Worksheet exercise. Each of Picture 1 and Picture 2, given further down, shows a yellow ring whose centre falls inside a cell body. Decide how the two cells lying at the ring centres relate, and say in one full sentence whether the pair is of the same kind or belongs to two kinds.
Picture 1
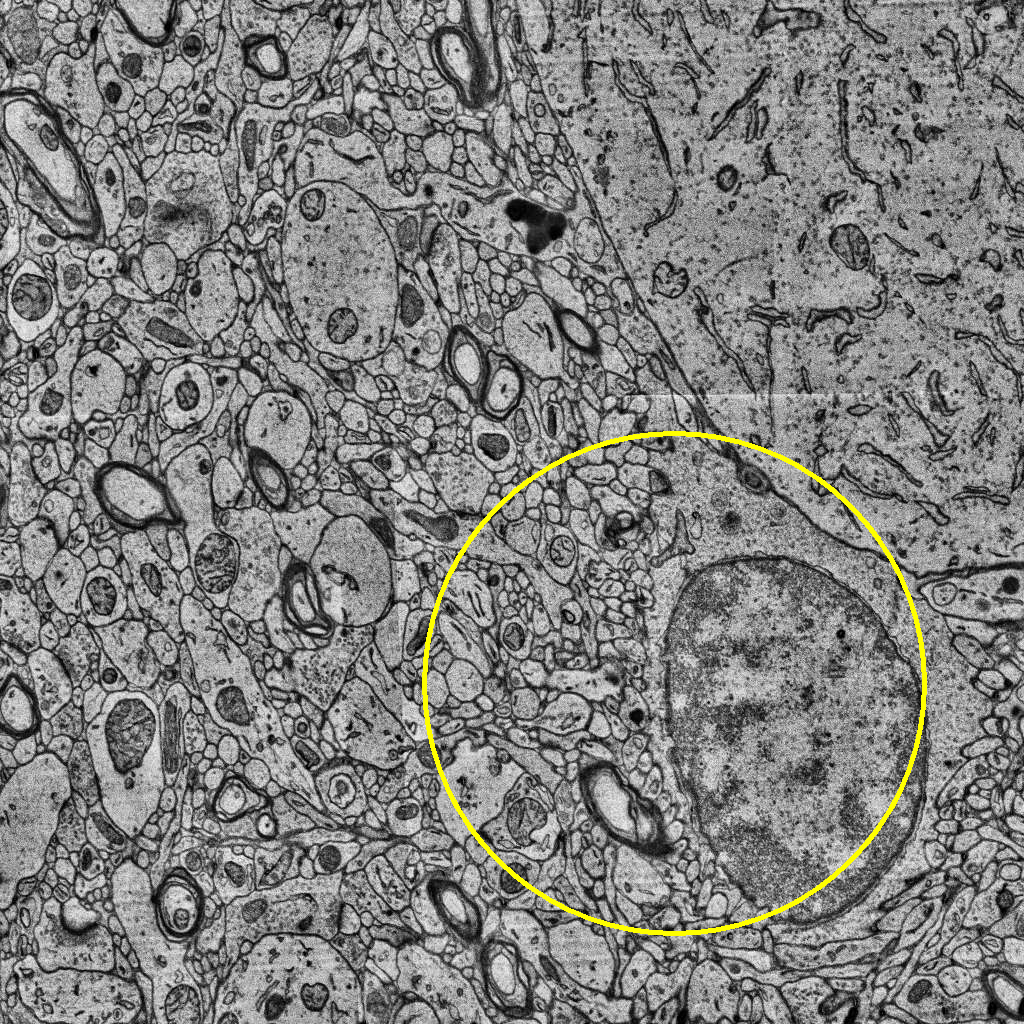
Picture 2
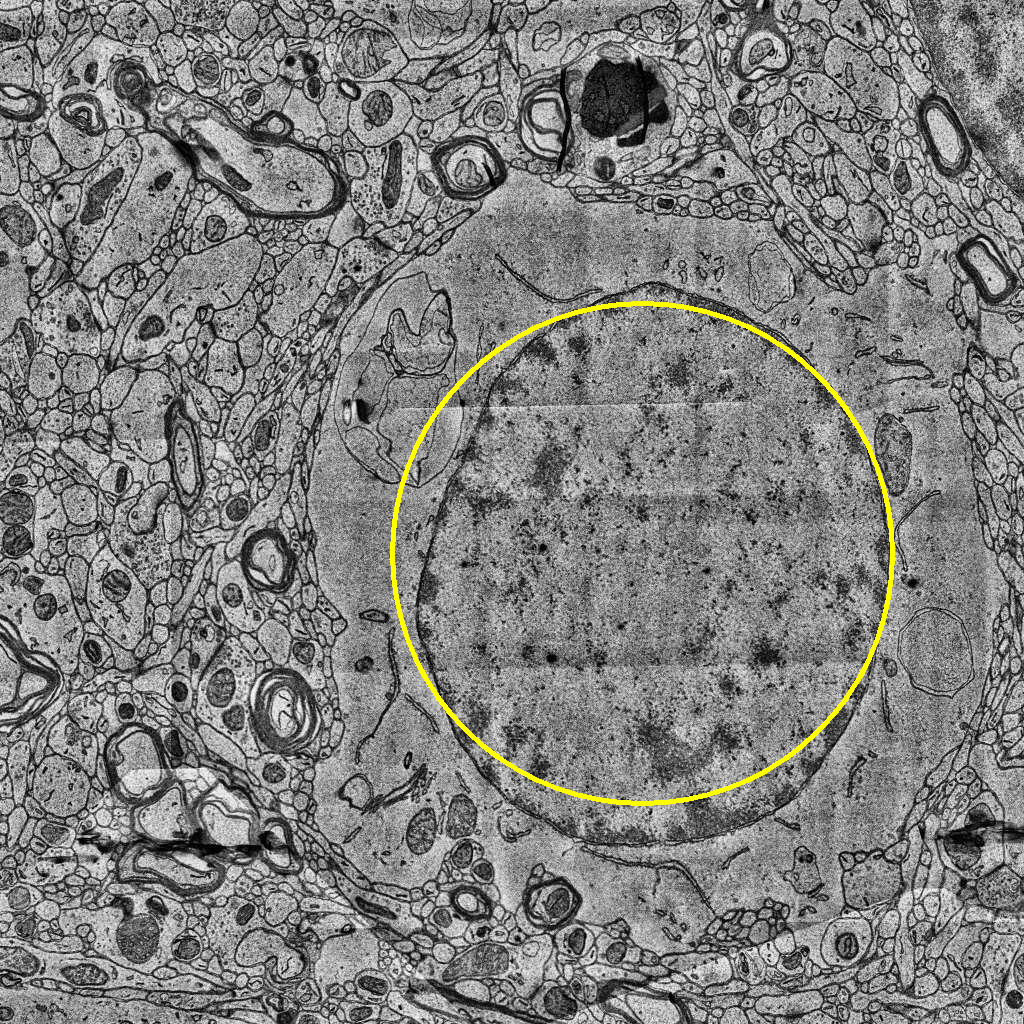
The cells at the ring centres in Picture 1 and Picture 2 belong to two kinds.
